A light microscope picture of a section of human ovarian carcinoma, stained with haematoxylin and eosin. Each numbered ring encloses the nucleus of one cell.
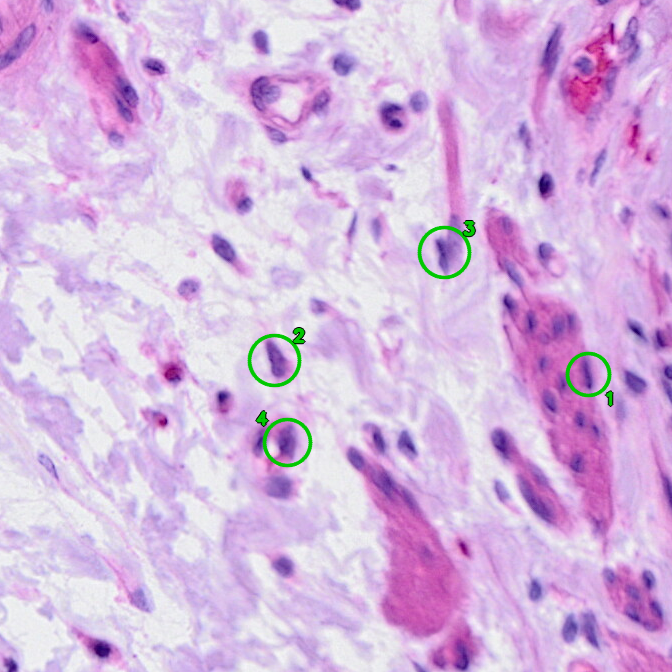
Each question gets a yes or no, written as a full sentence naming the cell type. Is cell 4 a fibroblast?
No, cell 4 is an endothelial cell, not a fibroblast.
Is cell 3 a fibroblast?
Yes, the cell with its nucleus marked 3 is a fibroblast.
